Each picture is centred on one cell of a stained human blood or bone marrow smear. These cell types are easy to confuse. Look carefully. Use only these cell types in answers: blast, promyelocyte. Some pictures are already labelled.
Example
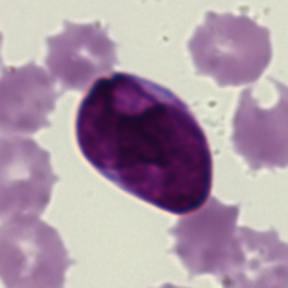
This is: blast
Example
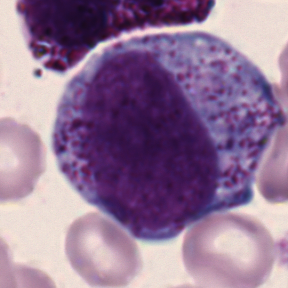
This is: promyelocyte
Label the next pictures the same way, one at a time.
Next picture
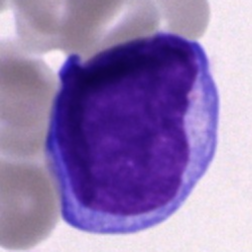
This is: blast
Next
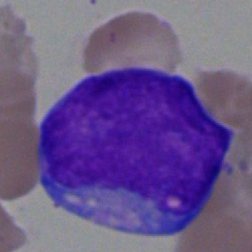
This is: blast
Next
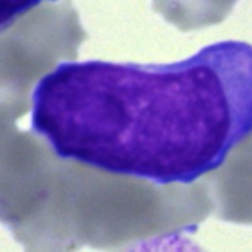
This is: blast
